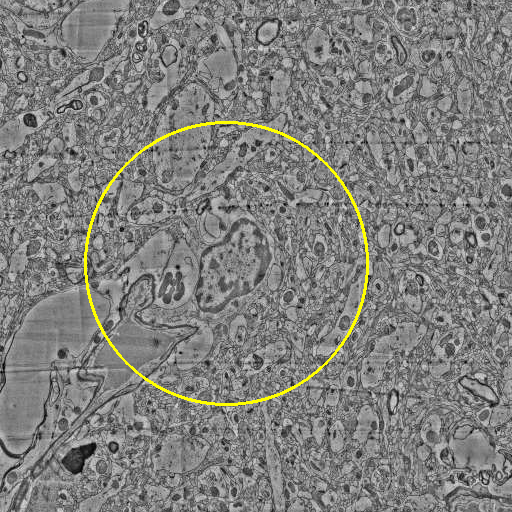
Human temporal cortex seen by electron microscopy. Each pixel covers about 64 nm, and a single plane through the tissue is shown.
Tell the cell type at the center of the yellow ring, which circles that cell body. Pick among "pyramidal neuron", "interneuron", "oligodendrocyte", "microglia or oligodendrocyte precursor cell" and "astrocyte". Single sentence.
The ring is centered on the body of a microglial cell or oligodendrocyte precursor cell.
